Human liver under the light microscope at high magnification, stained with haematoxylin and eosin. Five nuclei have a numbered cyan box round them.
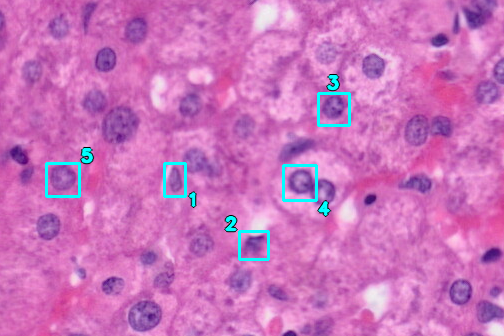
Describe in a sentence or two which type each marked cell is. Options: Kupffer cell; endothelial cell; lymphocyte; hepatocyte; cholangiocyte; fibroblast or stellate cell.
Cell 1 is a Kupffer cell. Cell 2 is an endothelial cell. Cells 3, 4 and 5 are hepatocytes.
